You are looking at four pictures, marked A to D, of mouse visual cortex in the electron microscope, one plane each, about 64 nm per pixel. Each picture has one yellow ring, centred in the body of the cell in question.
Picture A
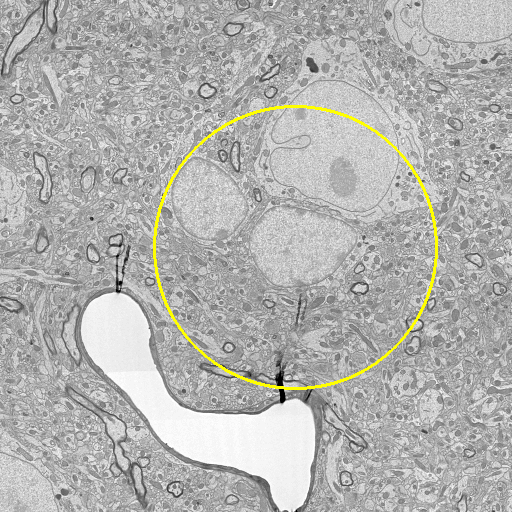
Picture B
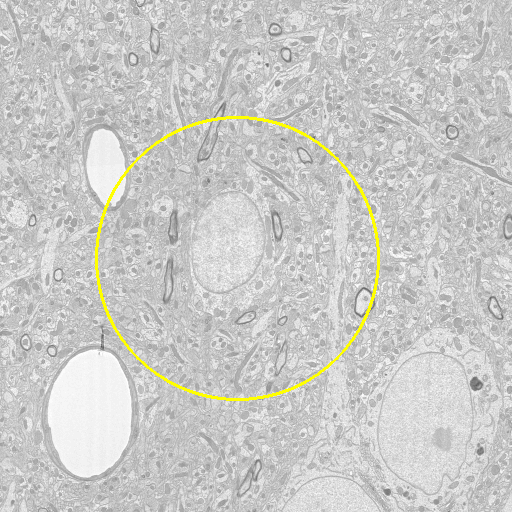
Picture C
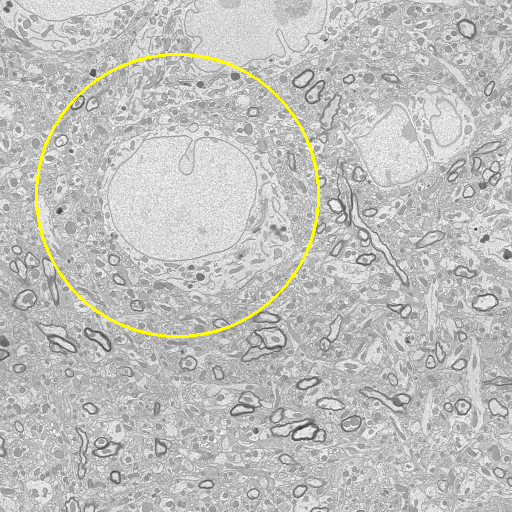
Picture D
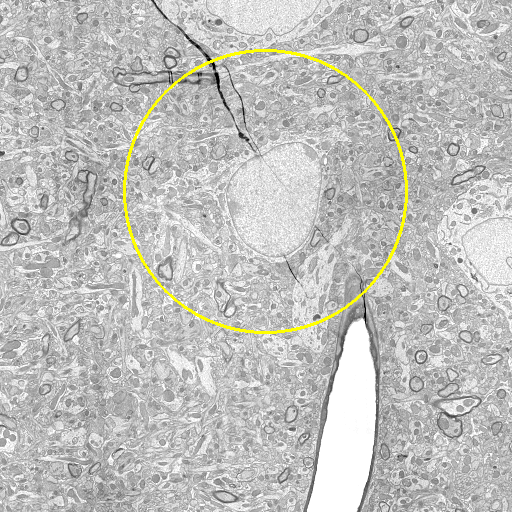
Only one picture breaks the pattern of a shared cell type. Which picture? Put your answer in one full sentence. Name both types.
All pictures except C show astrocytes; picture C shows an excitatory neuron.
